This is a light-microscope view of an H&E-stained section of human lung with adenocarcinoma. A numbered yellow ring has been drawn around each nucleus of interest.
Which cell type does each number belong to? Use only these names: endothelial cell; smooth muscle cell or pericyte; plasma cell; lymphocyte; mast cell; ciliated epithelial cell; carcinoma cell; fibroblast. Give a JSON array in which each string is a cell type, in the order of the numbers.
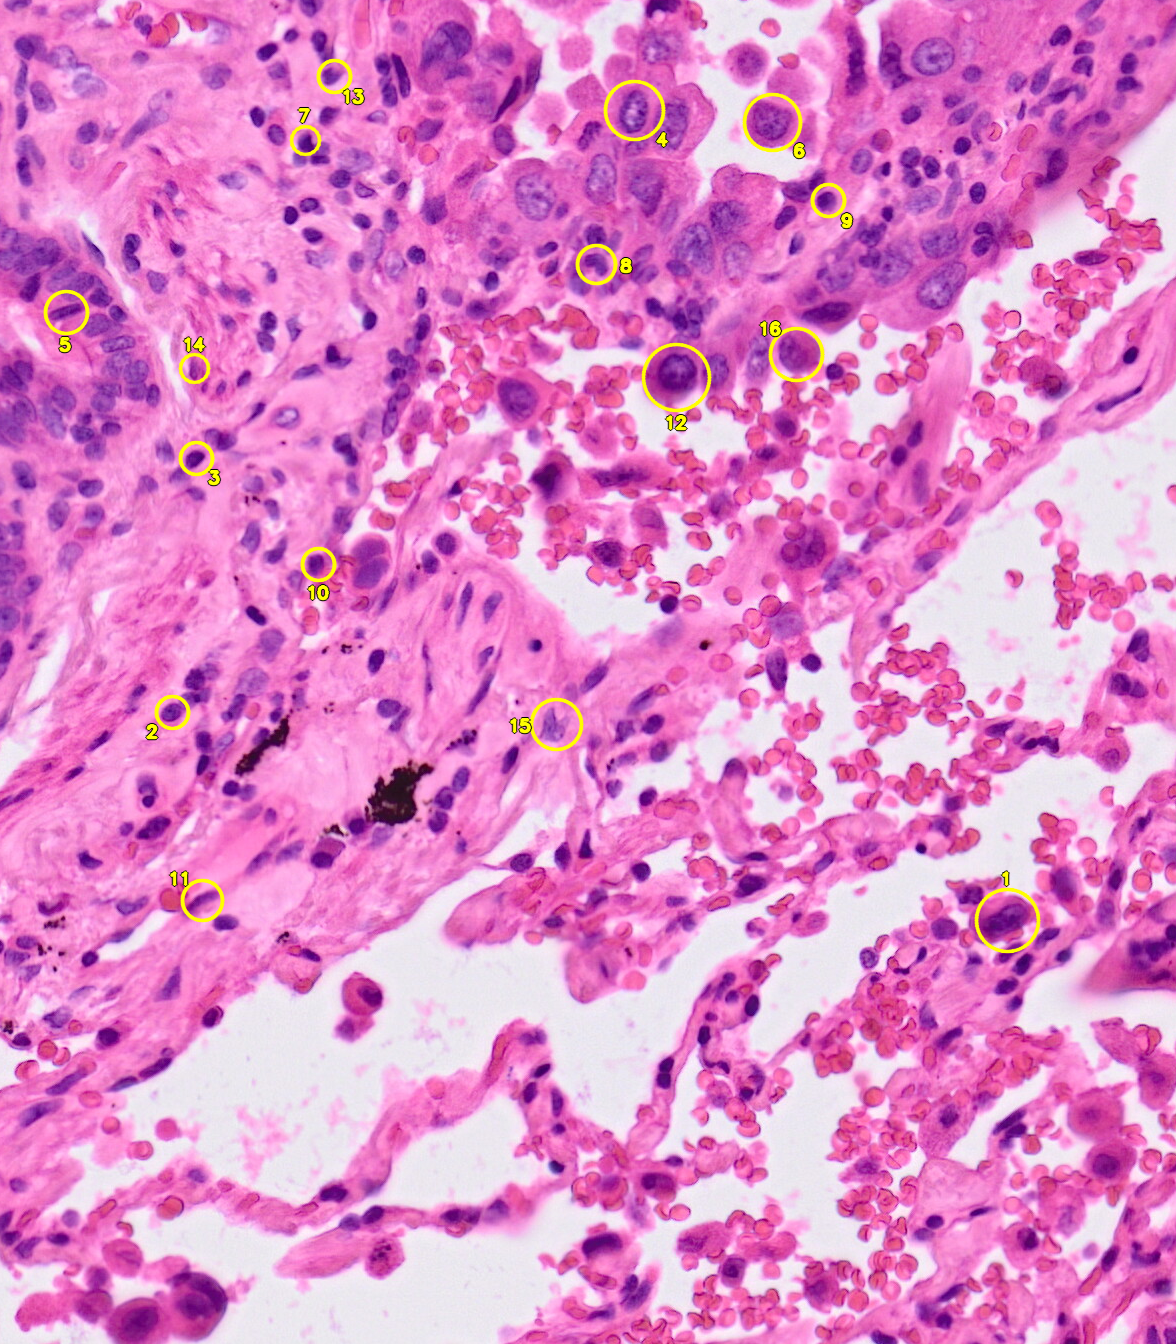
["carcinoma cell", "mast cell", "lymphocyte", "carcinoma cell", "ciliated epithelial cell", "carcinoma cell", "lymphocyte", "lymphocyte", "lymphocyte", "lymphocyte", "endothelial cell", "carcinoma cell", "lymphocyte", "smooth muscle cell or pericyte", "fibroblast", "carcinoma cell"]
